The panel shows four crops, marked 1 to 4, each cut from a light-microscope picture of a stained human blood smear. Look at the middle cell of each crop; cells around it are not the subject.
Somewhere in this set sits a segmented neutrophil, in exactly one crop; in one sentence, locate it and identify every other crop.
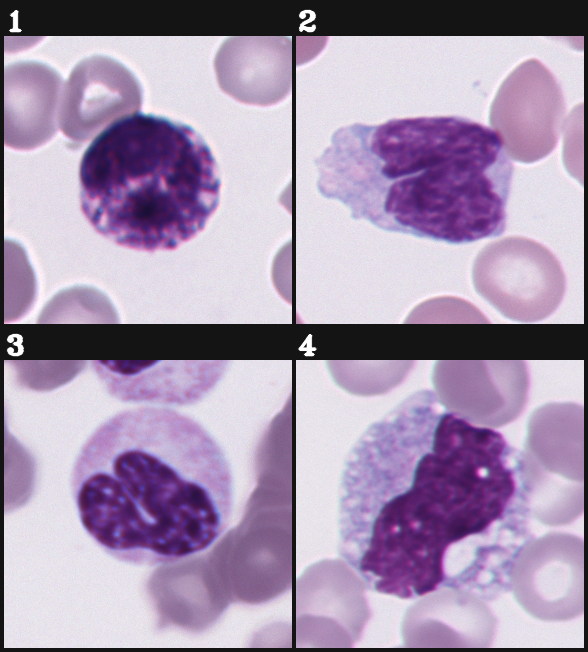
In crop 3 one sees a segmented neutrophil, while crop 1 is a basophil, crop 2 is an atypical promyelocyte and crop 4 is a monocyte.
